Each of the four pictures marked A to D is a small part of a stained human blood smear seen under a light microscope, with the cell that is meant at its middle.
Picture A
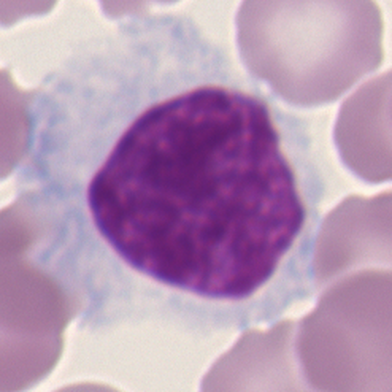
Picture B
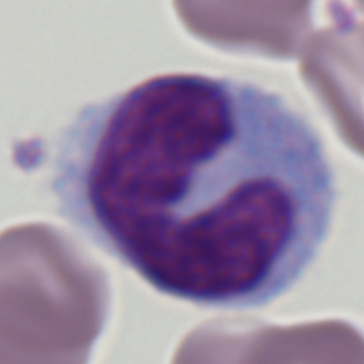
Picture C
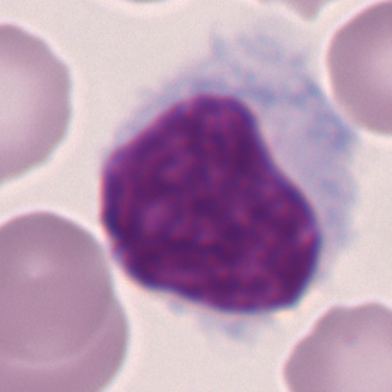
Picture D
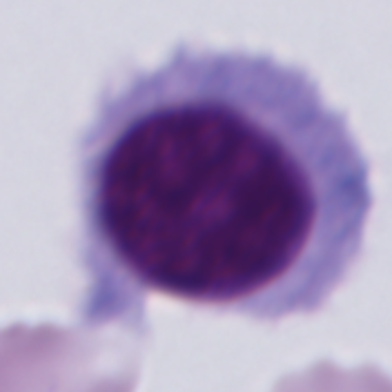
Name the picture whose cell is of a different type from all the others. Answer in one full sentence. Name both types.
Unlike the rest, which show hairy cells, picture B shows a monocyte.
